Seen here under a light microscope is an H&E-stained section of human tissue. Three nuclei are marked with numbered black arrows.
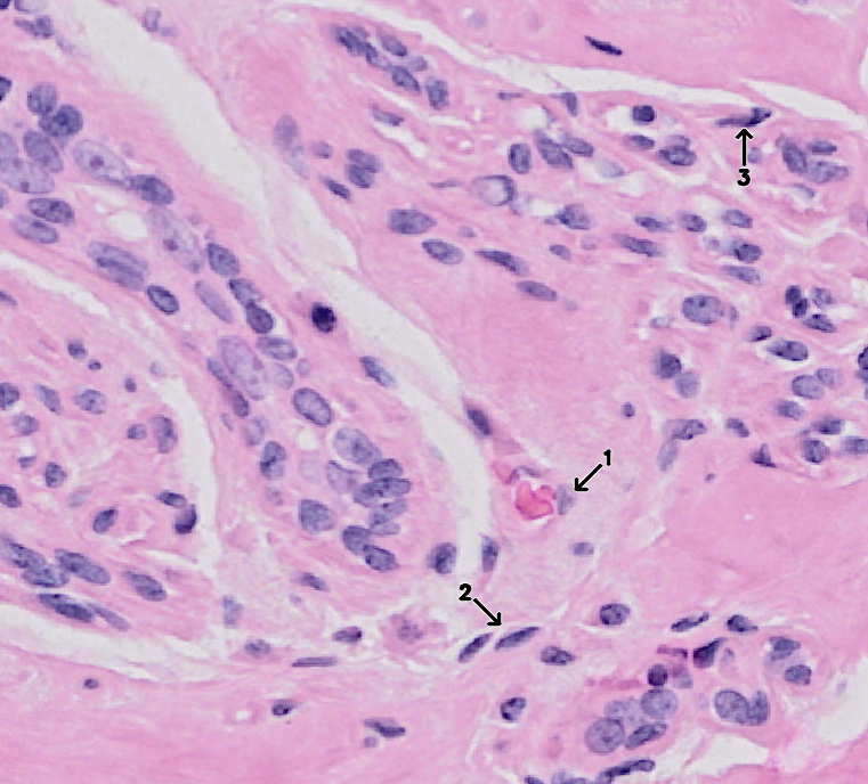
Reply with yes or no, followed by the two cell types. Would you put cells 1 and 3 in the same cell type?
No, cell 1 is typed as an endothelial cell, and cell 3 is typed as a fibroblast.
